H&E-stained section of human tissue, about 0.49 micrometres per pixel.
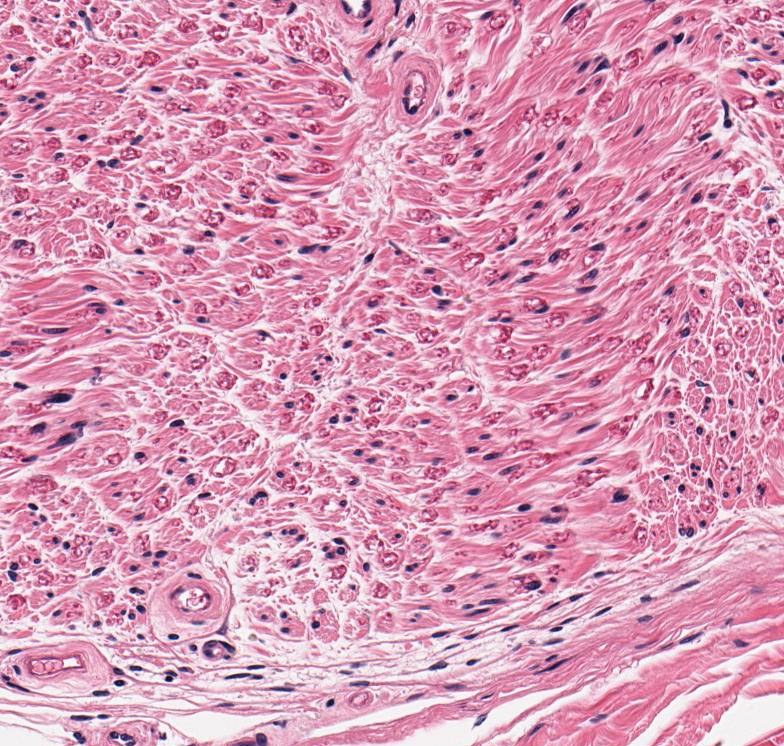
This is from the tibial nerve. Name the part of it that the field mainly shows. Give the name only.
nerve fascicle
